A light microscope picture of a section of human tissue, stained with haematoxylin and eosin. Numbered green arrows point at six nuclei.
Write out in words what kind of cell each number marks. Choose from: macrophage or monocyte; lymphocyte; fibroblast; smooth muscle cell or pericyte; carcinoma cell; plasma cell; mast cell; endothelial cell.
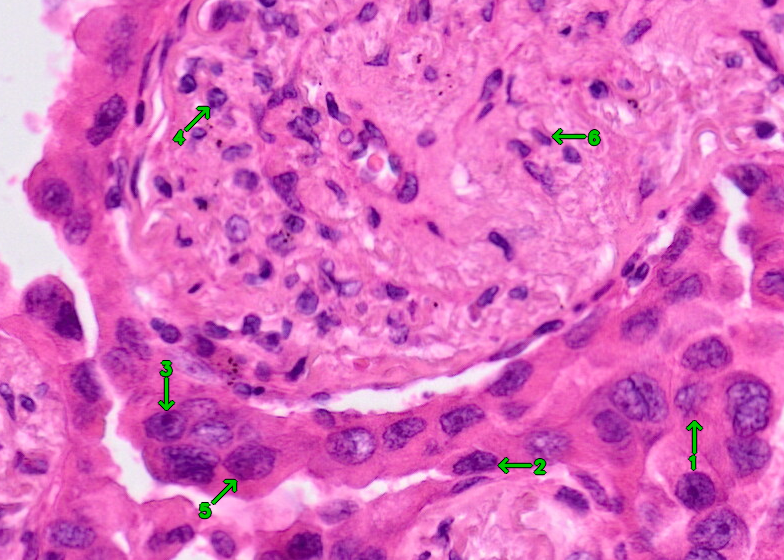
Cell 1 is a carcinoma cell, cell 2 is a carcinoma cell, cell 3 is a carcinoma cell, cell 4 is a plasma cell, cell 5 is a carcinoma cell and cell 6 is a smooth muscle cell or pericyte.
